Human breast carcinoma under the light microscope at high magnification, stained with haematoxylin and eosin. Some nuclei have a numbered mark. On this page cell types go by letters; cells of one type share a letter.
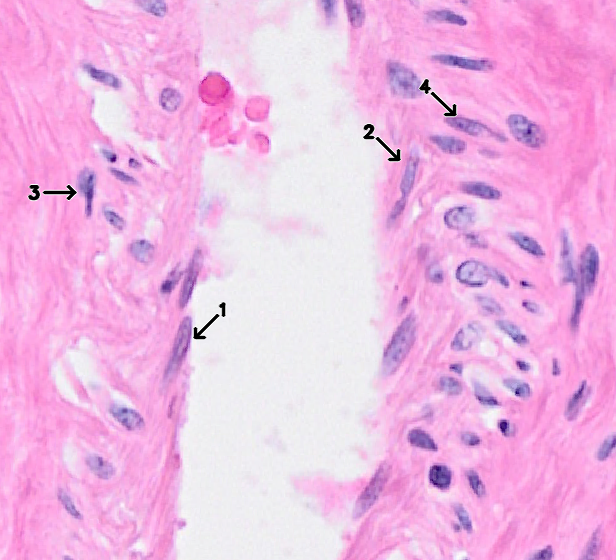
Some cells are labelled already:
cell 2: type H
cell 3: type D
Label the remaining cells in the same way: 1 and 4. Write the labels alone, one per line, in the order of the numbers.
type H
type H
